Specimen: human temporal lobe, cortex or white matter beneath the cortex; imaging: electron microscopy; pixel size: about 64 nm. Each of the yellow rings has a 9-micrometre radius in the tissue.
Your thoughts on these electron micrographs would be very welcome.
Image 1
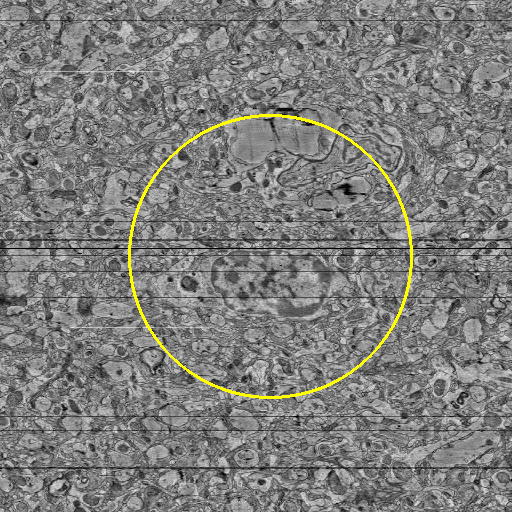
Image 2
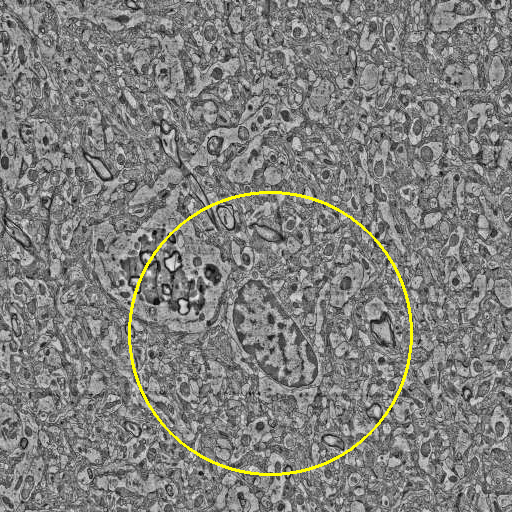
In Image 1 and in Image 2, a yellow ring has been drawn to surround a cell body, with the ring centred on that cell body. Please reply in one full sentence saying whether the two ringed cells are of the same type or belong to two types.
The ringed cells in Image 1 and Image 2 are of the same type.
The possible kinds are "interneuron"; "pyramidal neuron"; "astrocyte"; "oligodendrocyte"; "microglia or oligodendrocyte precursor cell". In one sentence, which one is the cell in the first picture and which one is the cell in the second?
In the first picture and in the second, the ring is centred on a microglial cell or oligodendrocyte precursor cell.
